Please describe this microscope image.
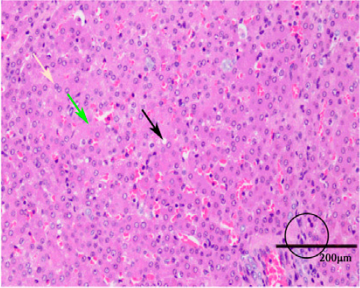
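Liver tissue with pink hepatocytes in cords, round purple nuclei, and red blood cells in the sinusoids; near the lower right a cluster of small, dark purple nuclei stands out among the larger hepatocyte nuclei. Scattered cells show pale or vacuolated cytoplasm. The dark cluster is an accumulation of inflammatory cells in the liver lobule.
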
